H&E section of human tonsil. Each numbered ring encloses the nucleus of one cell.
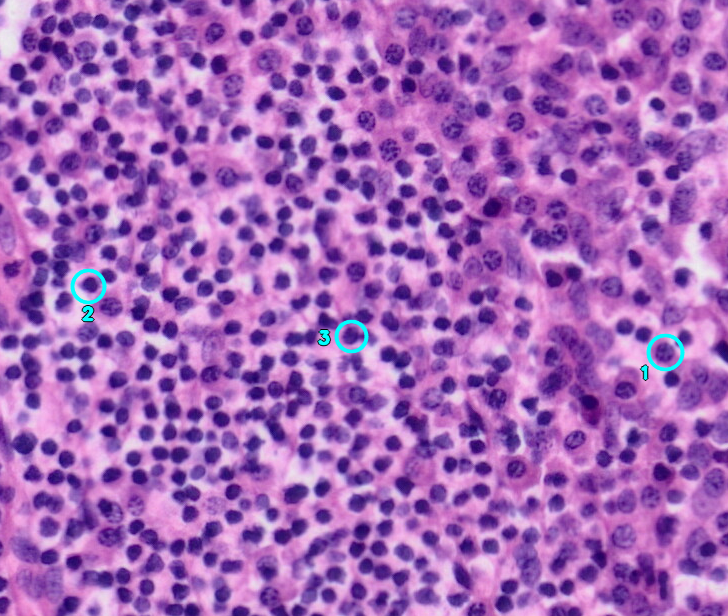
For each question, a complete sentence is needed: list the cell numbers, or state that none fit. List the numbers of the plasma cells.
Where the numbered cells are concerned, only number 1 is a plasma cell.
